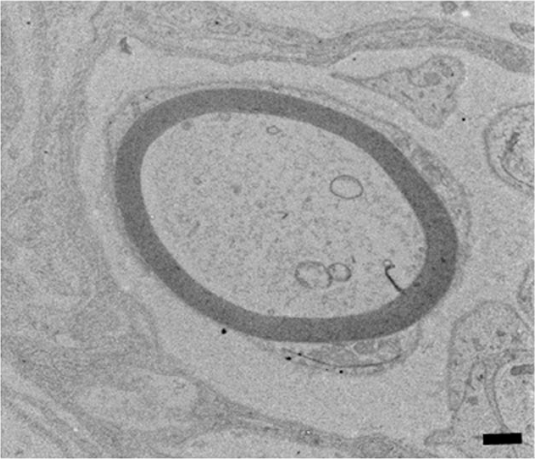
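A single myelinated nerve fiber is cut in cross-section, its oval axon wrapped by a thick, uniform, electron-dense myelin sheath. The axoplasm inside is pale and holds a few small vesicular profiles, and thin cell processes and pale matrix surround the fiber.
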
